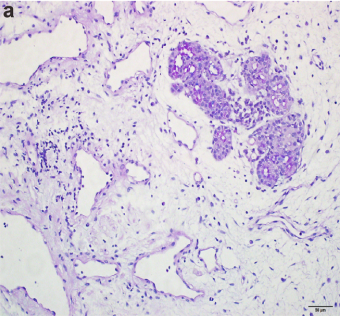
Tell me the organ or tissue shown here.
glands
